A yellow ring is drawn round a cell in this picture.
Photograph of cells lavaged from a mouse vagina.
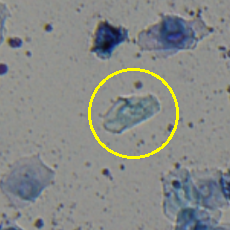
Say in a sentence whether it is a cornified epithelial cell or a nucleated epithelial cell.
The cell in the ring is a cornified epithelial cell.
